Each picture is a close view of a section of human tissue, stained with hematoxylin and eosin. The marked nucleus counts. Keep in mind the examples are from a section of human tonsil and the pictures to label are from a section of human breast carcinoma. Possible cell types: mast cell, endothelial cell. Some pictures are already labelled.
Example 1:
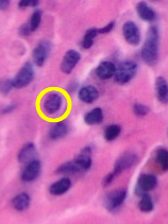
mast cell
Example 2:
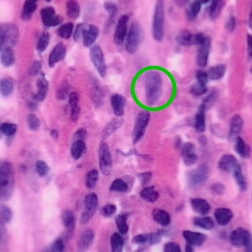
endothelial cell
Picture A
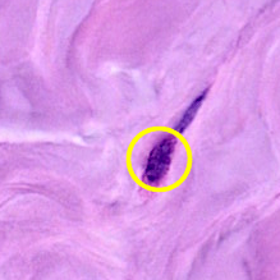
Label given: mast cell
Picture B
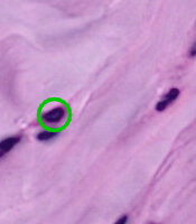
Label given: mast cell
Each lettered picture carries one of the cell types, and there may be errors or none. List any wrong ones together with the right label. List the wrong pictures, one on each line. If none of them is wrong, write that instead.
None of the labels needs changing.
